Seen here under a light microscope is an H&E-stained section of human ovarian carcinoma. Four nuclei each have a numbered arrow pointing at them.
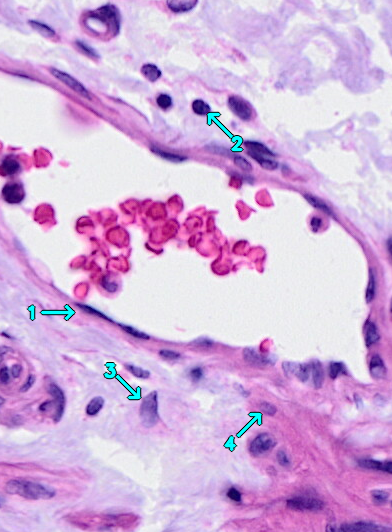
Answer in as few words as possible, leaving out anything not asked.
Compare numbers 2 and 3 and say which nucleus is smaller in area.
2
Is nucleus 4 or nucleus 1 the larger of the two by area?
1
